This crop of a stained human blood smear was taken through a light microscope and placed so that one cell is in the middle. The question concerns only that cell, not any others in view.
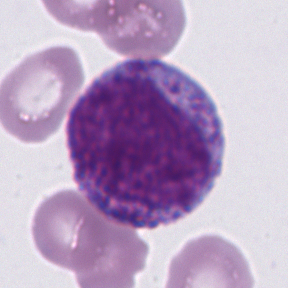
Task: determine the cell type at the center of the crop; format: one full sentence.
Looking at the middle of the crop, the cell there is a promyelocyte.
